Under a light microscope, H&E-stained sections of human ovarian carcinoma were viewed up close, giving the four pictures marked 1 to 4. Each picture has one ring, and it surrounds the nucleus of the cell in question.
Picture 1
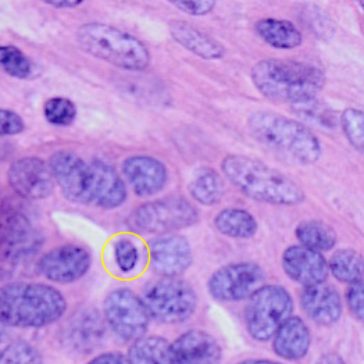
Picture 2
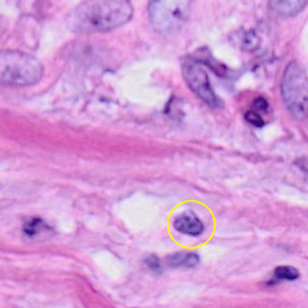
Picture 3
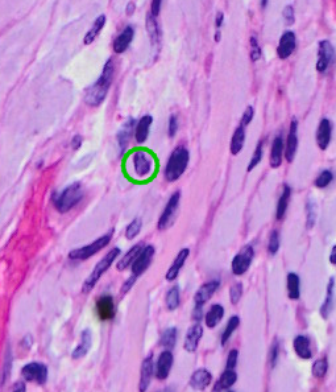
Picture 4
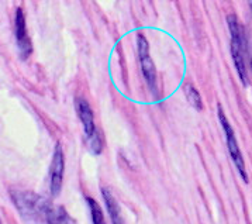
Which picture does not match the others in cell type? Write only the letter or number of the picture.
4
